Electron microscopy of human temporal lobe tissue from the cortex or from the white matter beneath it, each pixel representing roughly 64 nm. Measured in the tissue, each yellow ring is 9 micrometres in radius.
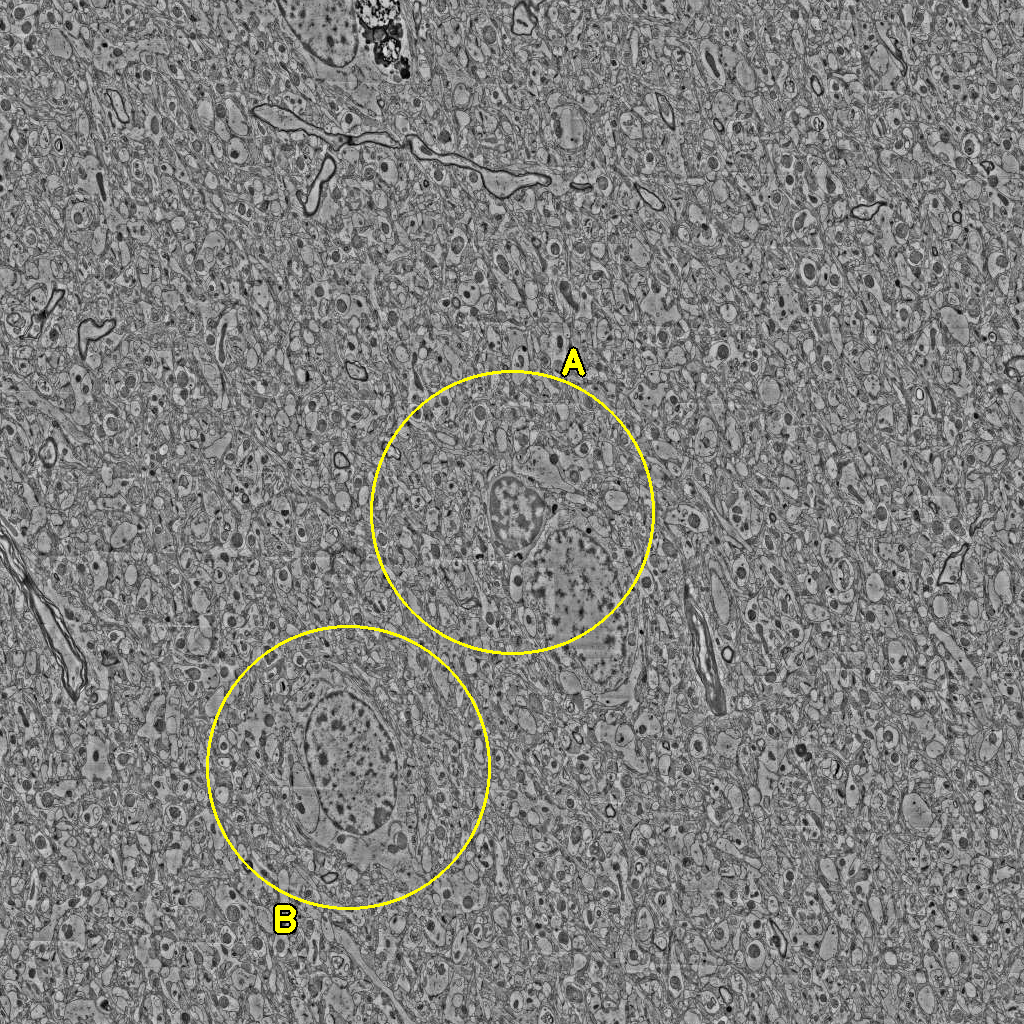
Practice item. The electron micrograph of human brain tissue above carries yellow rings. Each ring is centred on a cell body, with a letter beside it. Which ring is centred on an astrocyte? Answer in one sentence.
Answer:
Ring B is centred on it.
